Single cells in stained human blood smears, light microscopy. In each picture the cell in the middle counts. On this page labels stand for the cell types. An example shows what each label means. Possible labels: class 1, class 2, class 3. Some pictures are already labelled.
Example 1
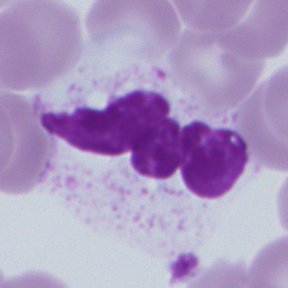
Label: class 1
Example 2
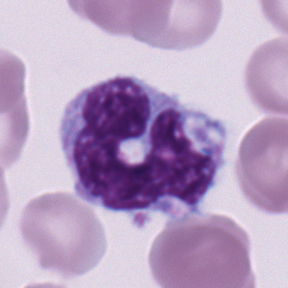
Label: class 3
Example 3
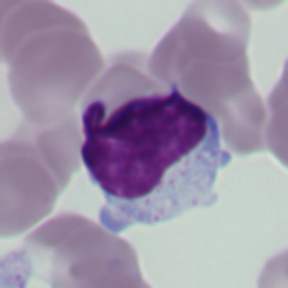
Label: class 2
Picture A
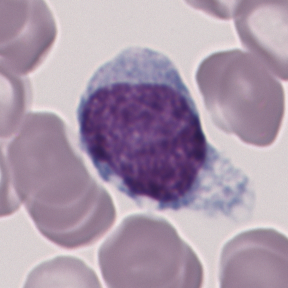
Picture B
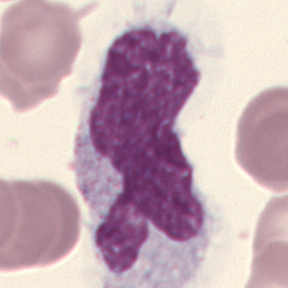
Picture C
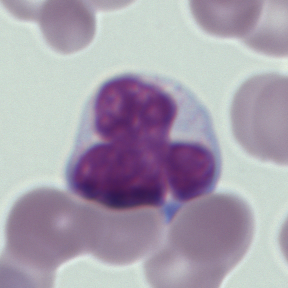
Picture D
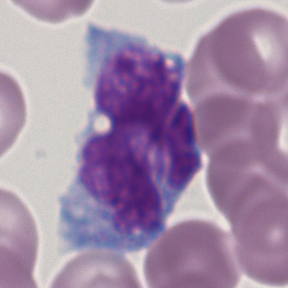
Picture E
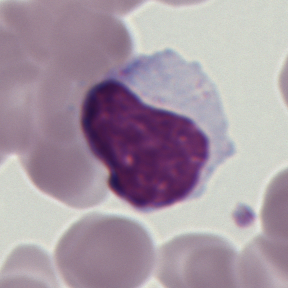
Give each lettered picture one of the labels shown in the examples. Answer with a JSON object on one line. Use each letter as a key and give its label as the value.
{"A": "class 3", "B": "class 3", "C": "class 2", "D": "class 3", "E": "class 2"}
